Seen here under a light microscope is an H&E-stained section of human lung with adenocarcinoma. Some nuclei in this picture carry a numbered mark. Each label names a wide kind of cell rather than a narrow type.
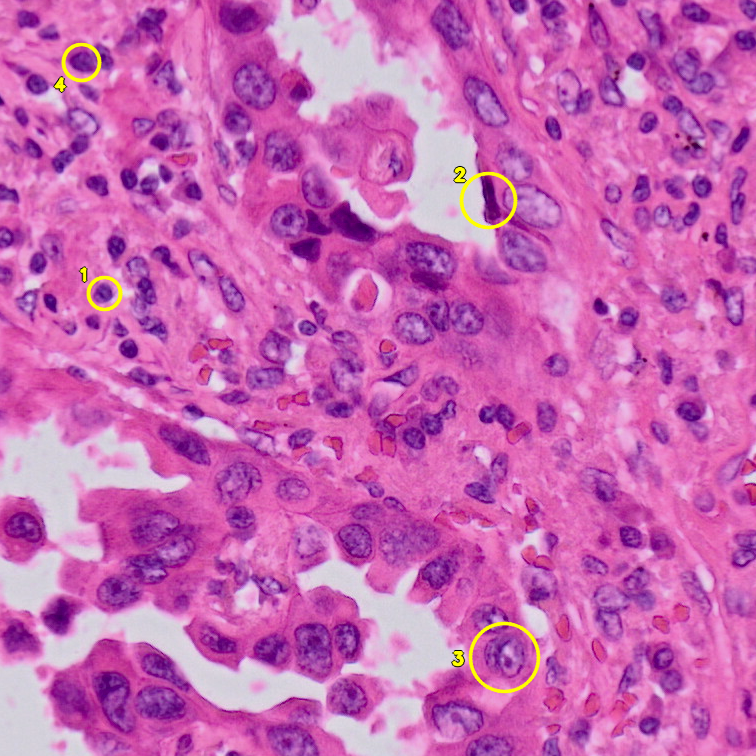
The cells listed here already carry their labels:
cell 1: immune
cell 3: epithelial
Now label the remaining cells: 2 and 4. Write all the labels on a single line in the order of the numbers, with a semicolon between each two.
epithelial; immune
